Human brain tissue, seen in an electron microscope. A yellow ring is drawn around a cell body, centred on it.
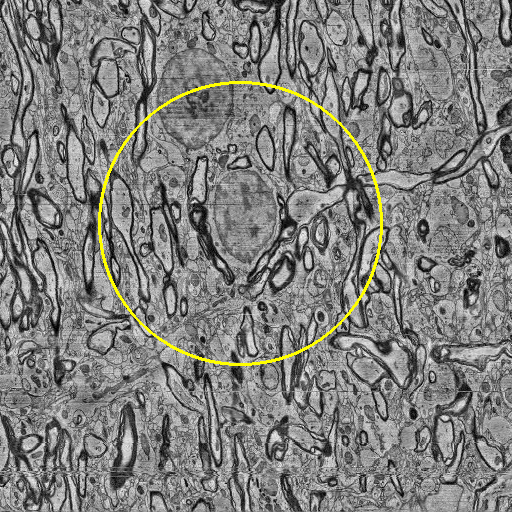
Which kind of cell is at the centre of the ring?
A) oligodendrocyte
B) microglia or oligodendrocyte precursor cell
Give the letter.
A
